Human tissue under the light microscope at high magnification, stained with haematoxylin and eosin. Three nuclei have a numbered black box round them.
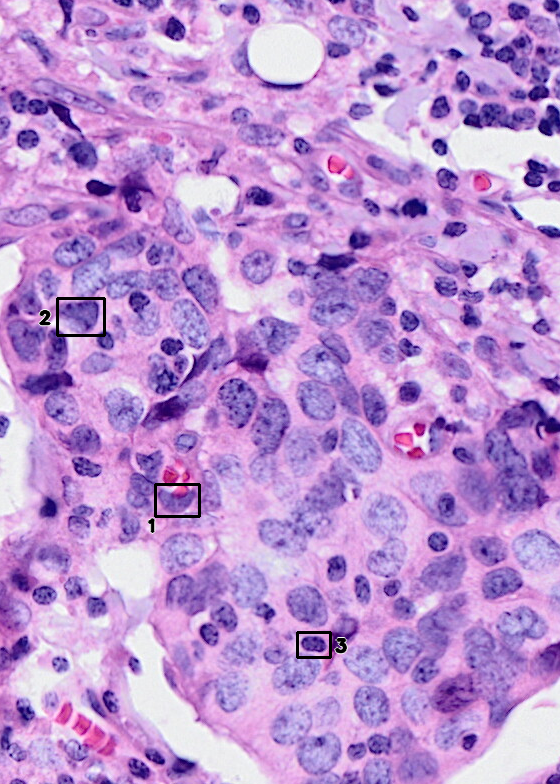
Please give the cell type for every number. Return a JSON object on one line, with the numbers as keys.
{"1": "endothelial cell", "2": "carcinoma cell", "3": "lymphocyte"}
